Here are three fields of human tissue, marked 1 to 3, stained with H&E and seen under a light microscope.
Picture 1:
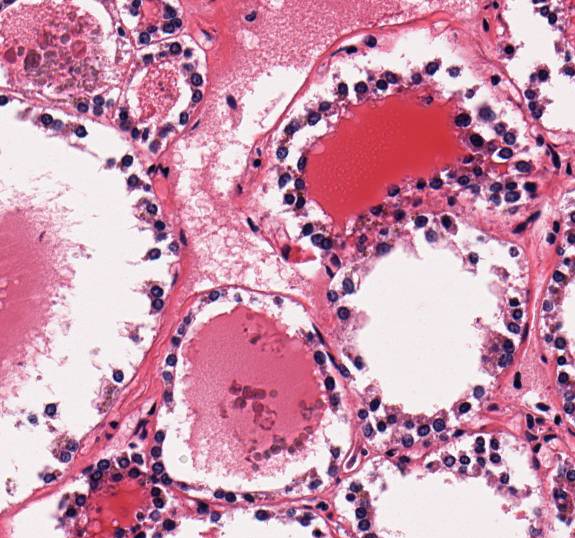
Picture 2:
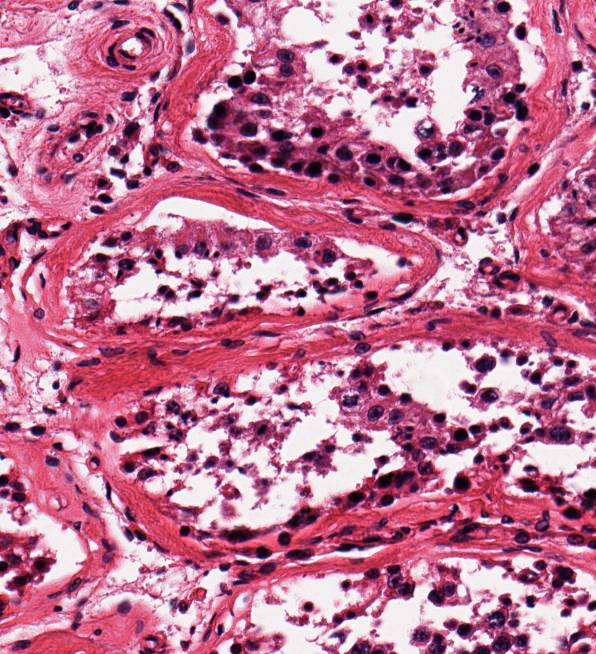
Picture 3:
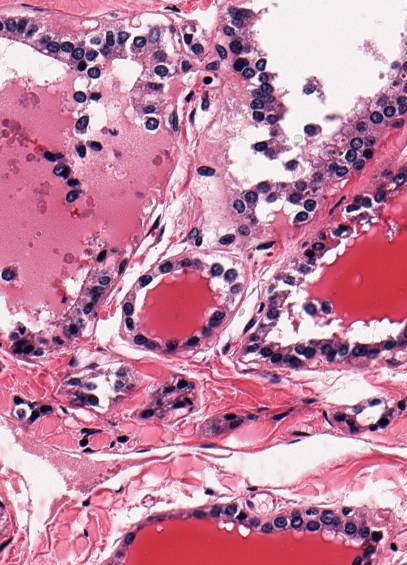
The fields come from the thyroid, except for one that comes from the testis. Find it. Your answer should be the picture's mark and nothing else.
2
